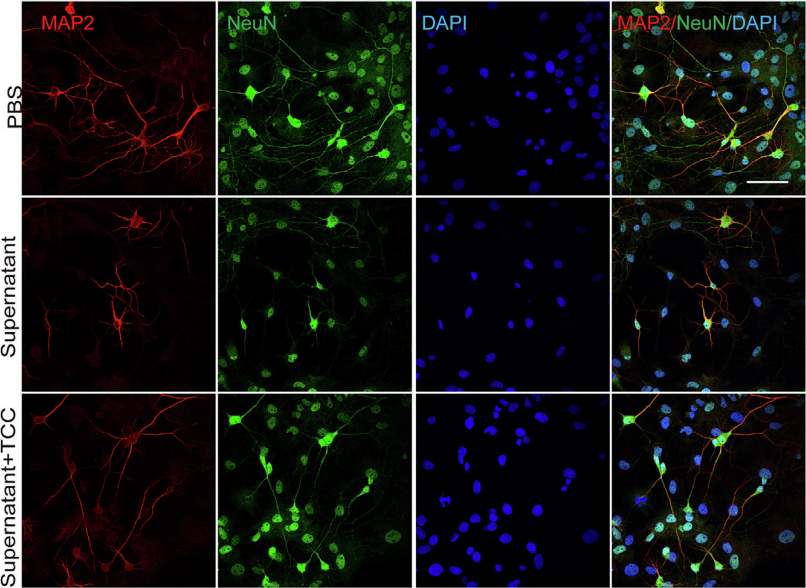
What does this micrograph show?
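A culture of neurons is seen, with small rounded or triangular cell bodies giving off long, thin, branching red processes that run across the field and form a loose network. In the middle row the red processes look fewer and shorter than in the rows above and below.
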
